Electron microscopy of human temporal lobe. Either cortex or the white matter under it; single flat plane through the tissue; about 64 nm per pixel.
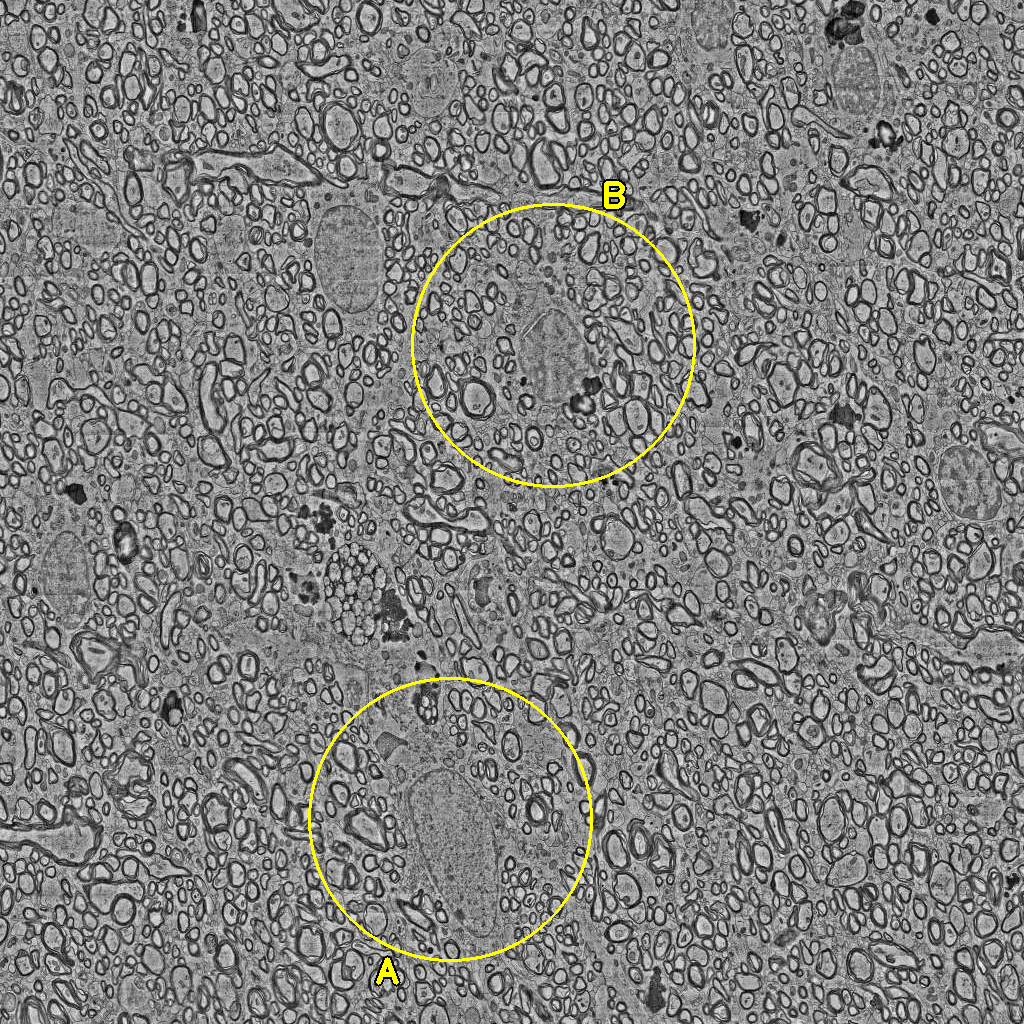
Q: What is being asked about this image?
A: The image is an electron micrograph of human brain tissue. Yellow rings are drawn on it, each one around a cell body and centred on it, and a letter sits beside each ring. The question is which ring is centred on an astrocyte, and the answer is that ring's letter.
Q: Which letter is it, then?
A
